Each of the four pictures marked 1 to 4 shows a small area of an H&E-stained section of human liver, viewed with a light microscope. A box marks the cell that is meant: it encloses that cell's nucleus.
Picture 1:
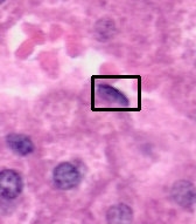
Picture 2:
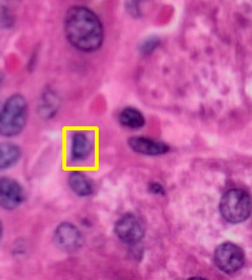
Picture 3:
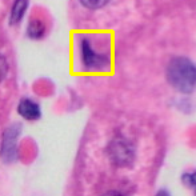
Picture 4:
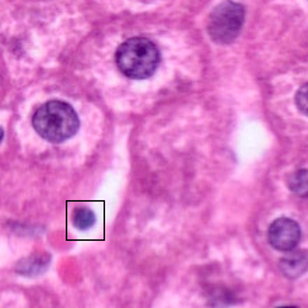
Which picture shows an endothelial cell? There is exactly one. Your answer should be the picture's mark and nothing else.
1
